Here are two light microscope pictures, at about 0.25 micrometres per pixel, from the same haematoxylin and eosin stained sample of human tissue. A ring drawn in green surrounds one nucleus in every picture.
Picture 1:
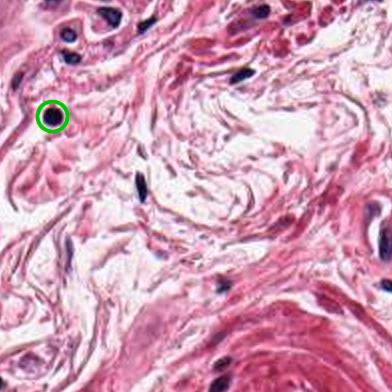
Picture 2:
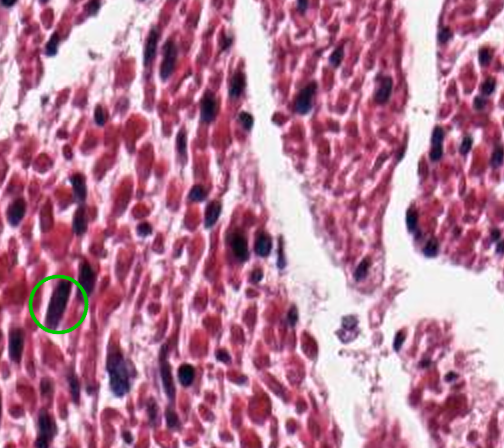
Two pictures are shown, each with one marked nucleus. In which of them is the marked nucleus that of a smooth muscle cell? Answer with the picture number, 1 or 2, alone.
2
